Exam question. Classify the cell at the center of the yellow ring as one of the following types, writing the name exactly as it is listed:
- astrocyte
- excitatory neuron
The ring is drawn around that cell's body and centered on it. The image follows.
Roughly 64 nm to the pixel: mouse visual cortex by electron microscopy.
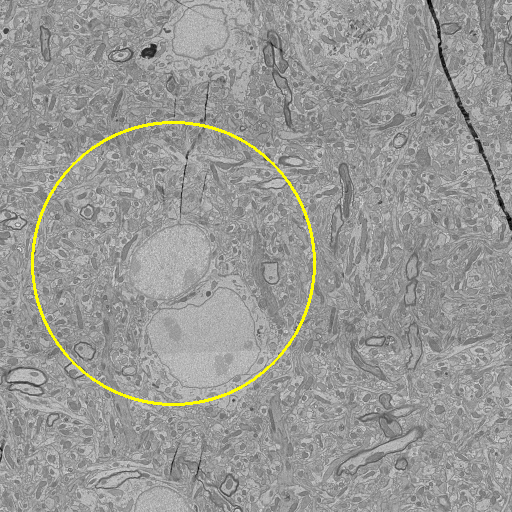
astrocyte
